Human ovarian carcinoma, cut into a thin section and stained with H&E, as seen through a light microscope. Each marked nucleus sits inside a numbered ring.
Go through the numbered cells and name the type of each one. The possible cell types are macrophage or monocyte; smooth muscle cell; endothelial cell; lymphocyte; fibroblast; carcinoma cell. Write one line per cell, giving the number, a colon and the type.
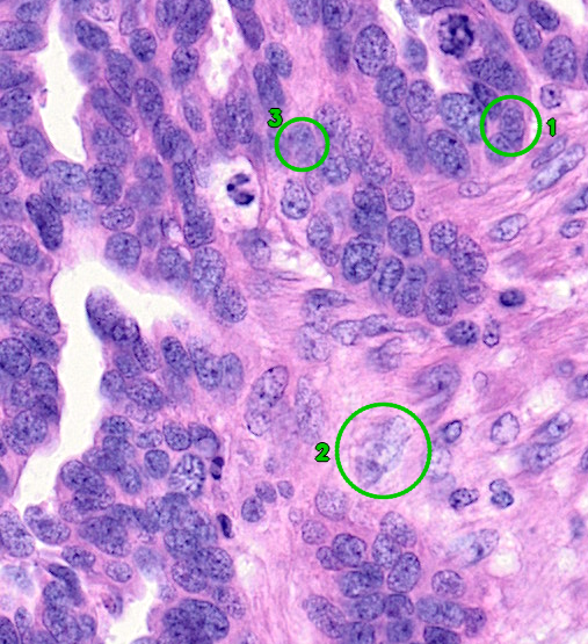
1: carcinoma cell
2: fibroblast
3: carcinoma cell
